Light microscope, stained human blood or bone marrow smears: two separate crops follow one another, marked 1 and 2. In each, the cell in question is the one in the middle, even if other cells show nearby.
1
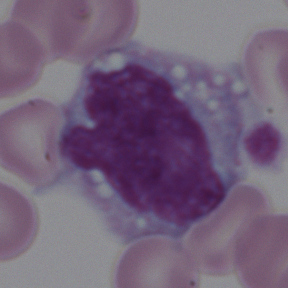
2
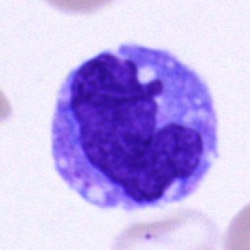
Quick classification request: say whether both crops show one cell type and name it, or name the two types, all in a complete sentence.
Yes, the cells that both crops show at the centre are monocytes.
